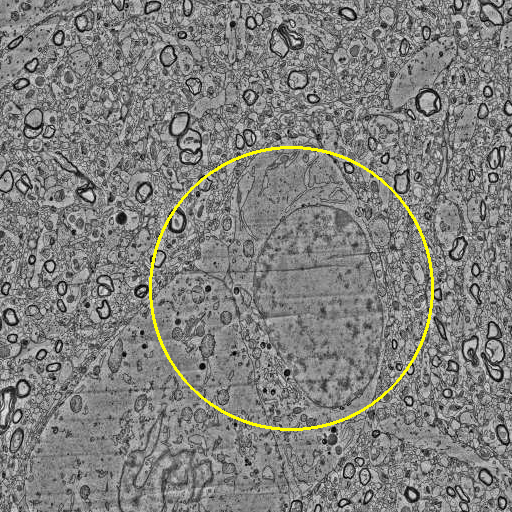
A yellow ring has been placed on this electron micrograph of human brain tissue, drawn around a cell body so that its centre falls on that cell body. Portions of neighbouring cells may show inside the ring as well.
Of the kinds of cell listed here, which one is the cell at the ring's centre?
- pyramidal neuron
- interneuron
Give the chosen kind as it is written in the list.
interneuron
